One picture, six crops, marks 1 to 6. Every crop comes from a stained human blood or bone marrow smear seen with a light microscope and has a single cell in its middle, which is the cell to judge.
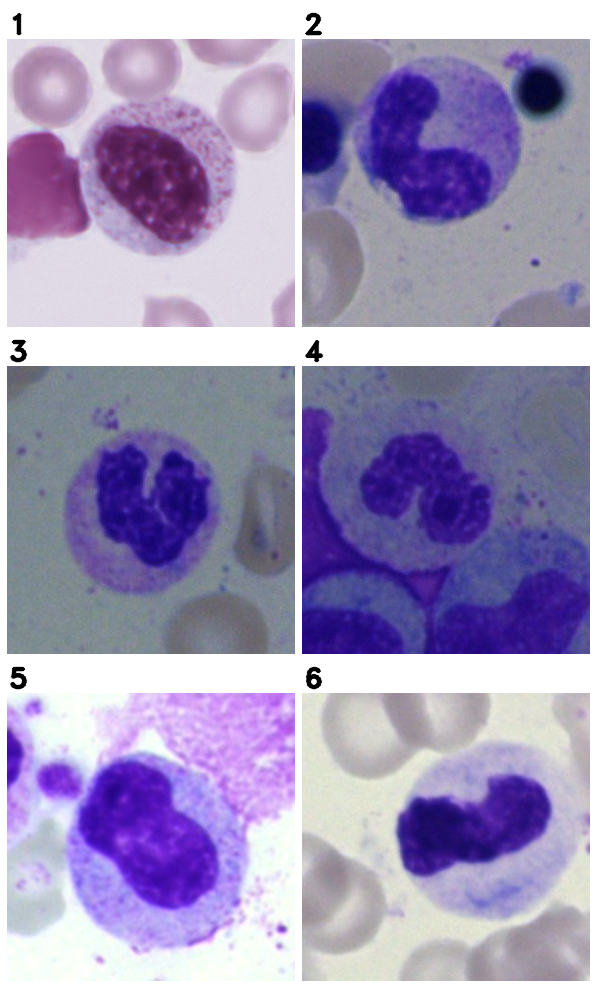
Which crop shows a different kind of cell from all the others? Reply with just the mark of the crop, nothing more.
1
